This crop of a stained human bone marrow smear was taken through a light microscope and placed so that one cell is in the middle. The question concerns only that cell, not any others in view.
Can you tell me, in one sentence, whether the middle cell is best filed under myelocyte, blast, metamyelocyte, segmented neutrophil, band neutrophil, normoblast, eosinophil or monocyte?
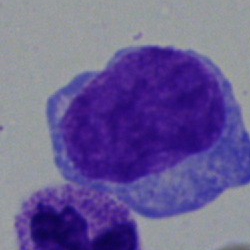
The cell around which this crop is centred is a blast.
